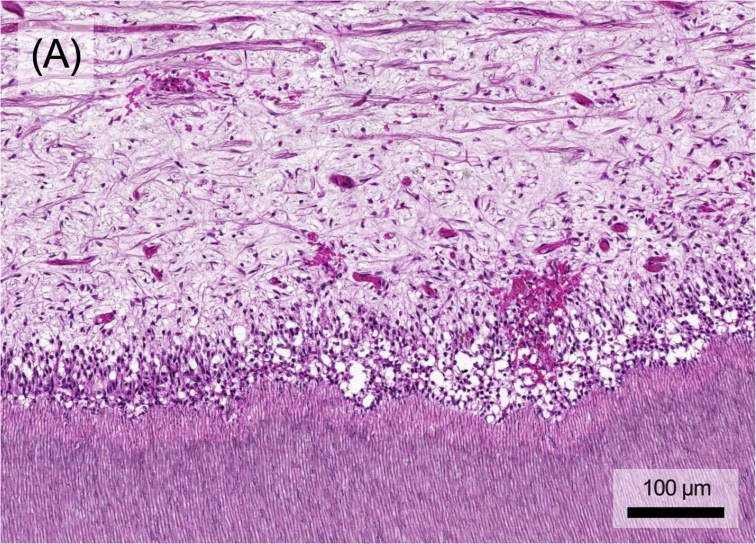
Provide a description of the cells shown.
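This section shows dental pulp lying against dentin. Tubular, deep pink dentin fills the bottom of the field. Along the dentin runs a band of cells with dark purple nuclei, but this band is irregular and broken up by many clear vacuoles.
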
